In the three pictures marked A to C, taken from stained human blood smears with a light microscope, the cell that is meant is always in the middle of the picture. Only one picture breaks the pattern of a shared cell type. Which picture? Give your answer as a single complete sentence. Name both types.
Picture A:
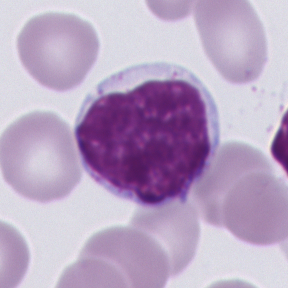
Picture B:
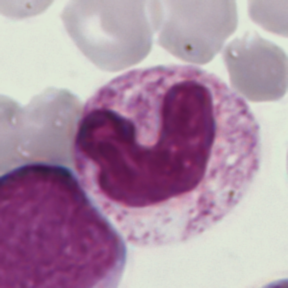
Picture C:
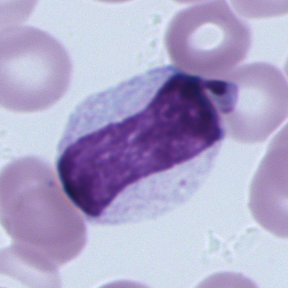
Picture A is the odd one out: it shows a large granular lymphocyte, while the others show band neutrophils.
